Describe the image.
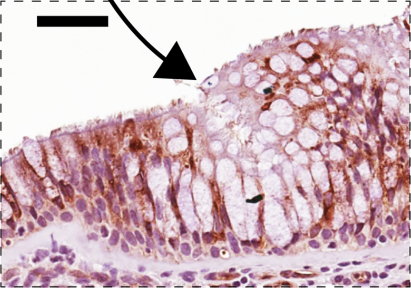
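This is a tall columnar airway epithelium in which many cells are goblet cells, their apical cytoplasm swollen with pale, clear mucus vacuoles. Between them the slender columnar cells carry strong brown cytoplasmic stain, with blue oval nuclei lined up toward the base of the layer. A thin band of connective tissue lies beneath.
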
